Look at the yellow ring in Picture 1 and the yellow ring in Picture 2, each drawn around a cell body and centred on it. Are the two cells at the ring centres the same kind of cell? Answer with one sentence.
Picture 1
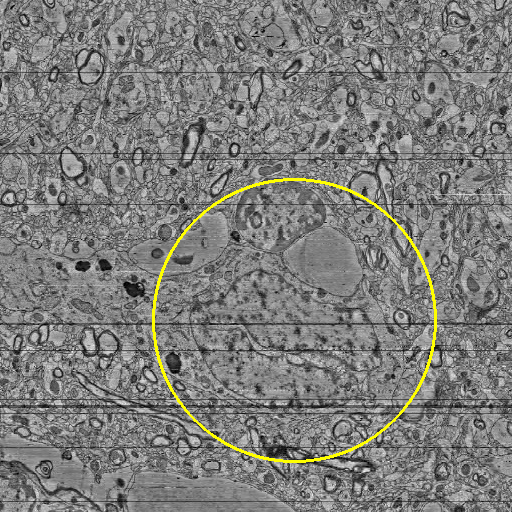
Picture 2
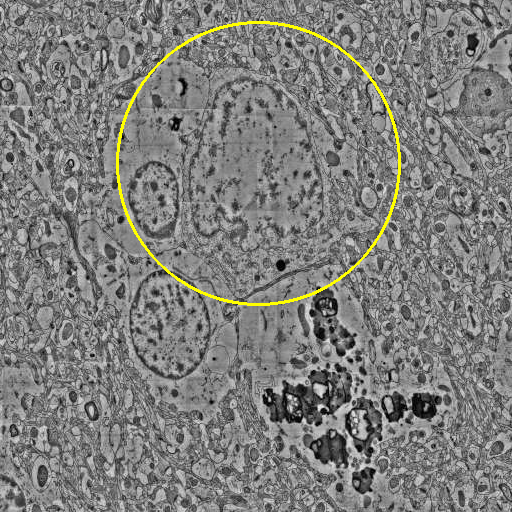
Yes, both are the same kind of cell.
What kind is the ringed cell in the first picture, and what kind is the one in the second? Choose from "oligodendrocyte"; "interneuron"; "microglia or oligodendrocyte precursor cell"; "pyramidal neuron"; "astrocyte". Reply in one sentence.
The cell in the first picture is an interneuron, and so is the one in the second.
